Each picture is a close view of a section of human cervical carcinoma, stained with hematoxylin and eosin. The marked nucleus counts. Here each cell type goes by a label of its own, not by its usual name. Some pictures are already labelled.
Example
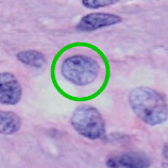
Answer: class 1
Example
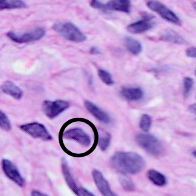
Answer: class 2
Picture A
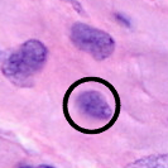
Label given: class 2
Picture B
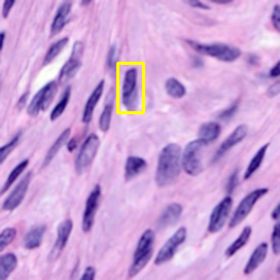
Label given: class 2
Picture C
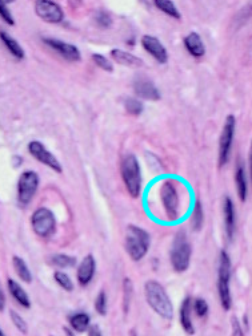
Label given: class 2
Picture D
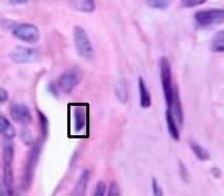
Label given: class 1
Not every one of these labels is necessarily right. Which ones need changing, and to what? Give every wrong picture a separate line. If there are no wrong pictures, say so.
C should be class 1, not class 2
